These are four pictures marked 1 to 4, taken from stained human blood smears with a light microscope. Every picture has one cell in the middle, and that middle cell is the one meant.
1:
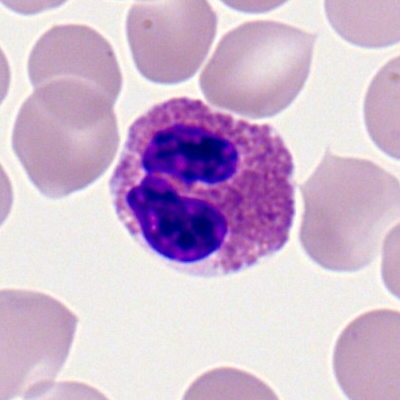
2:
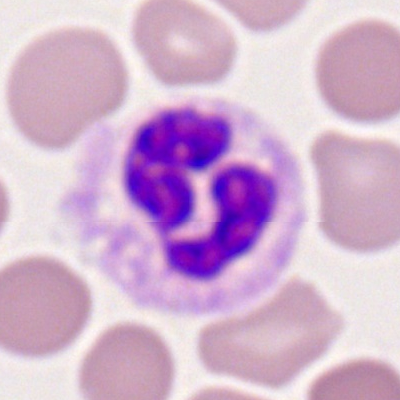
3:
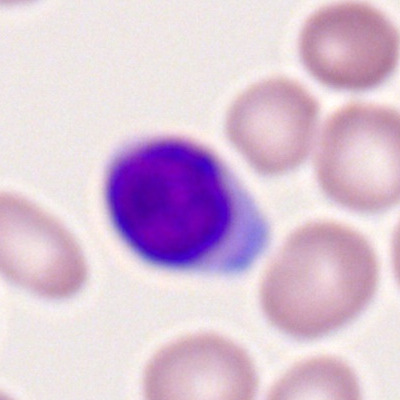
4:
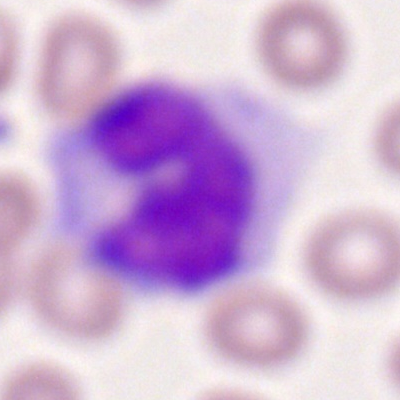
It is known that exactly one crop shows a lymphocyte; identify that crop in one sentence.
Of the labeled crops, the one with a lymphocyte is crop 3.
